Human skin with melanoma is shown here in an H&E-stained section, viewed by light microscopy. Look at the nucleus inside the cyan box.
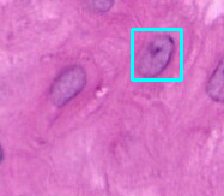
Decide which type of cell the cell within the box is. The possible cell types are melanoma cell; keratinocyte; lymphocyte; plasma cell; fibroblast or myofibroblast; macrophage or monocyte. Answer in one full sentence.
For cell typing purposes, the cell within the box is a keratinocyte.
